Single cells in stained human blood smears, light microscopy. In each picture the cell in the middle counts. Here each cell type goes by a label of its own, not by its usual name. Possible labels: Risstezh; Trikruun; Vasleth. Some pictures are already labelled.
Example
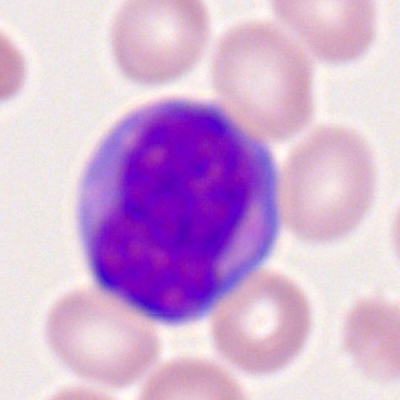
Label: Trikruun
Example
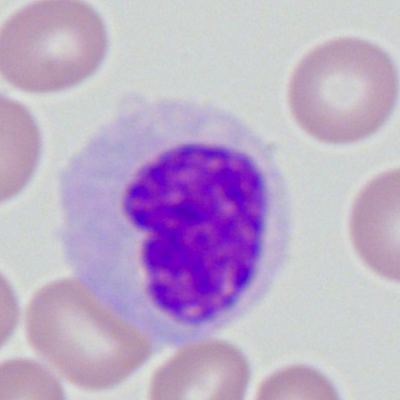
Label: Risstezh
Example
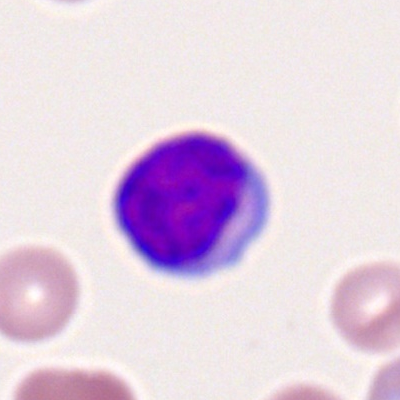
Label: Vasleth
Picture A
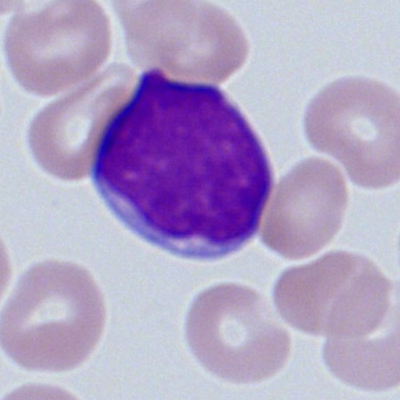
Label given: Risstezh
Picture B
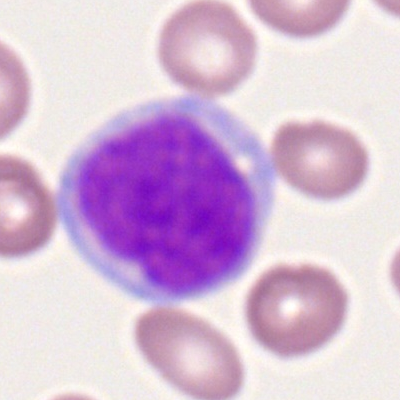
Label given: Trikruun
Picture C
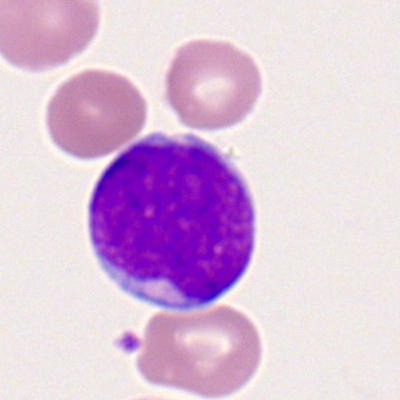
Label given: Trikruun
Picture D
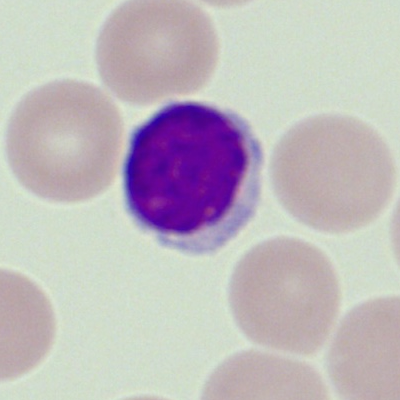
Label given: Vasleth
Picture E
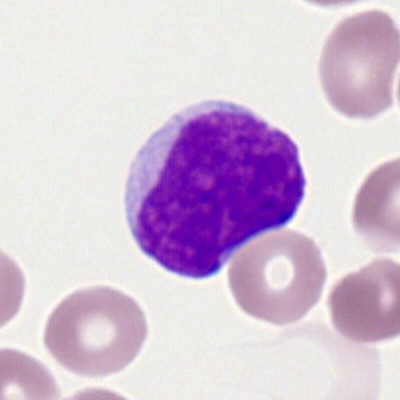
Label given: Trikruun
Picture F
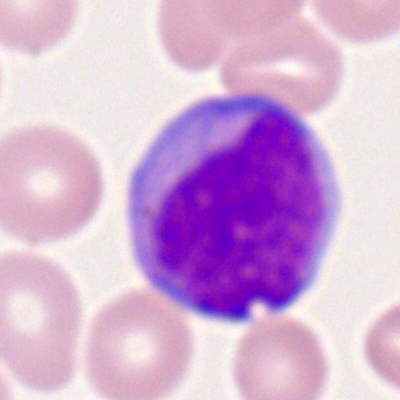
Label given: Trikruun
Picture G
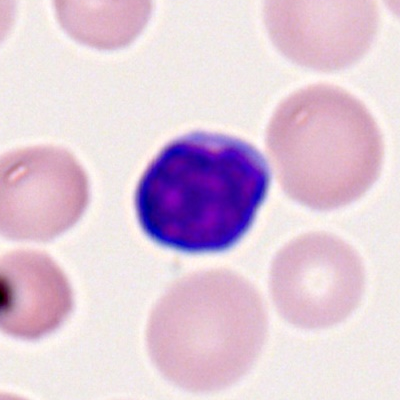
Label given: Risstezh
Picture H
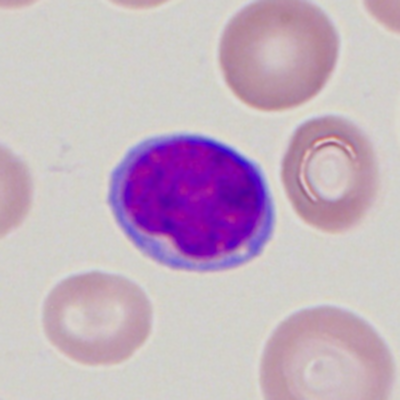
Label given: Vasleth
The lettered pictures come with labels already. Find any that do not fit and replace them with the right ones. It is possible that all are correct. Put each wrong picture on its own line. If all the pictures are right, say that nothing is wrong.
A should be Trikruun, not Risstezh
G should be Vasleth, not Risstezh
